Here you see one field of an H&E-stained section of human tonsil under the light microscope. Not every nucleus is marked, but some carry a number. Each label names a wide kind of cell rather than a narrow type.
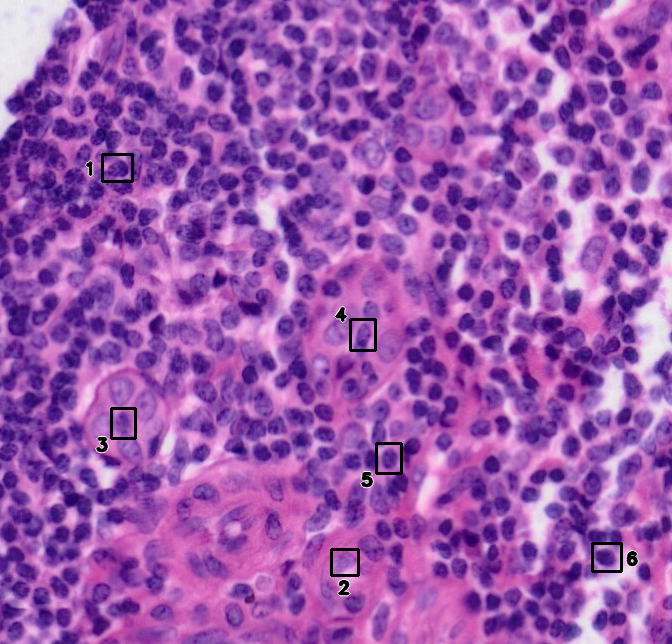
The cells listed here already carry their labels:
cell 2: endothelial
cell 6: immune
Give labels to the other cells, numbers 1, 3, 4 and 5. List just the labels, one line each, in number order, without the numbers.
immune
endothelial
endothelial
immune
